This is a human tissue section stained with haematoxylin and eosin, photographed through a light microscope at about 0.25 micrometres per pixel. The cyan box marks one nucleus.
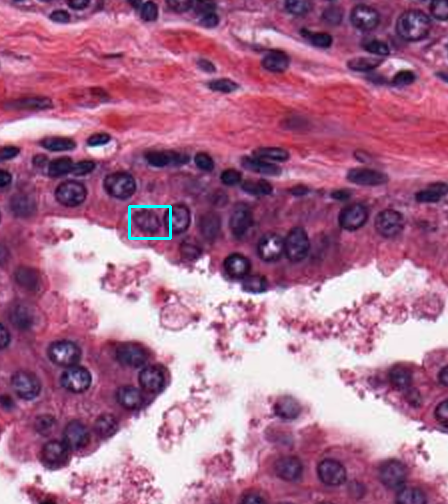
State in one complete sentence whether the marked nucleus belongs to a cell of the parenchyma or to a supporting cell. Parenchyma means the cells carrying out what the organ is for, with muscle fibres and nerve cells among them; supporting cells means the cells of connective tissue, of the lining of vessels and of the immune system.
The cell carrying the marked nucleus is a prostate gland luminal cell, a parenchymal cell.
